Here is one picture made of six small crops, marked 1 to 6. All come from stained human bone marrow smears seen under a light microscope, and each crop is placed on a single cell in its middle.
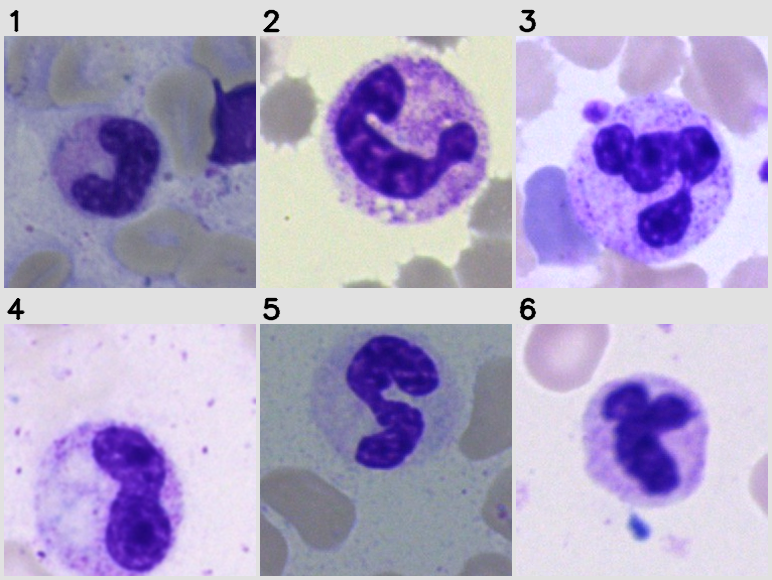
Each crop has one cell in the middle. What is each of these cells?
1: band neutrophil
2: segmented neutrophil
3: segmented neutrophil
4: band neutrophil
5: segmented neutrophil
6: segmented neutrophil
